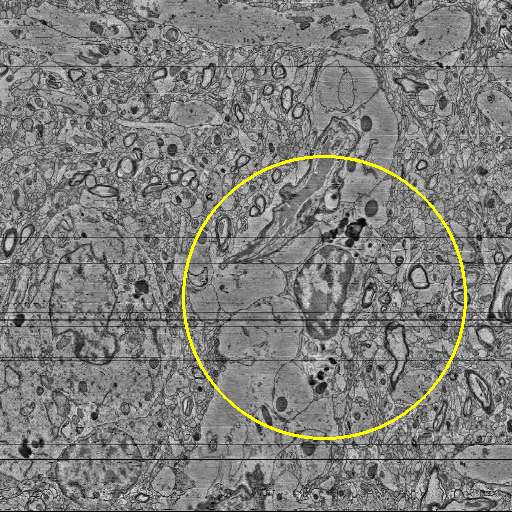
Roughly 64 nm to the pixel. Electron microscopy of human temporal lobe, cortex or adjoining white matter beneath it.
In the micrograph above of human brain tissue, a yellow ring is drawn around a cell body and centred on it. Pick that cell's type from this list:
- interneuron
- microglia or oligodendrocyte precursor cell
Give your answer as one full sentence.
Going by the list, a microglial cell or oligodendrocyte precursor cell is the cell on which the yellow ring is centred.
